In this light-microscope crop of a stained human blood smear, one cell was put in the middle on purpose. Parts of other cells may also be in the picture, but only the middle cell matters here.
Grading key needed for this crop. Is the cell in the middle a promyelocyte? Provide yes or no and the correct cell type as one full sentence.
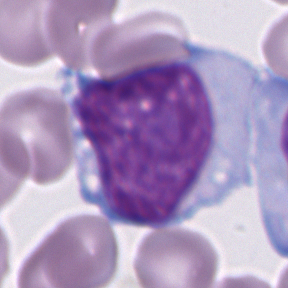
No, the central cell is classed as a myeloblast and not as a promyelocyte.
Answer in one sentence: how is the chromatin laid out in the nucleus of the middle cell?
The nuclear chromatin is fine, showing no coarse aggregates.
